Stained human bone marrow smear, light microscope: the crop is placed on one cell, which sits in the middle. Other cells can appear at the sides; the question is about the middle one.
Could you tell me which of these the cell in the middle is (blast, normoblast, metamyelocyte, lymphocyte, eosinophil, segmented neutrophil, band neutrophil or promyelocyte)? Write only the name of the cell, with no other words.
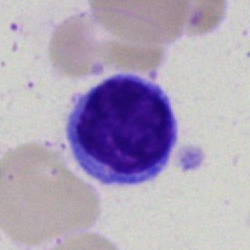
lymphocyte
